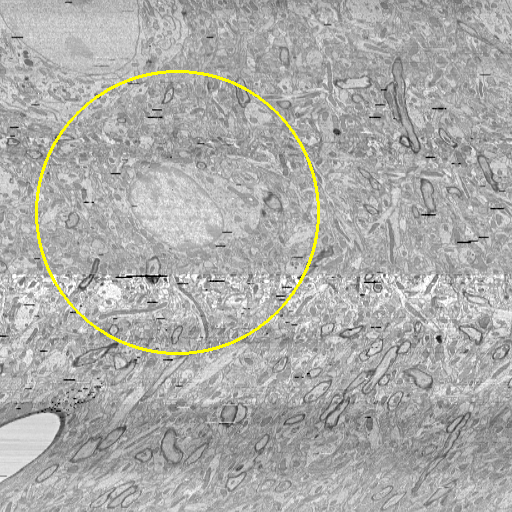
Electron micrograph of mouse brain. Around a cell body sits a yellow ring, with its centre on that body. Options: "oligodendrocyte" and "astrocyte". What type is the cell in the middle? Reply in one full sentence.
The cell sitting at the centre of the yellow ring is an oligodendrocyte.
